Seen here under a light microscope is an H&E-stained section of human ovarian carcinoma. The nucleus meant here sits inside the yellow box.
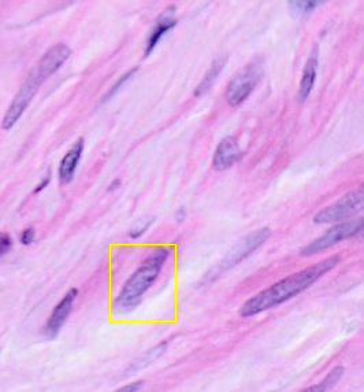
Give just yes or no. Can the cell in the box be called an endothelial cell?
no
